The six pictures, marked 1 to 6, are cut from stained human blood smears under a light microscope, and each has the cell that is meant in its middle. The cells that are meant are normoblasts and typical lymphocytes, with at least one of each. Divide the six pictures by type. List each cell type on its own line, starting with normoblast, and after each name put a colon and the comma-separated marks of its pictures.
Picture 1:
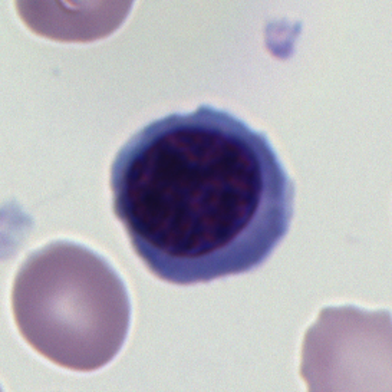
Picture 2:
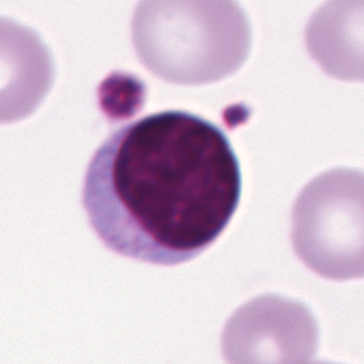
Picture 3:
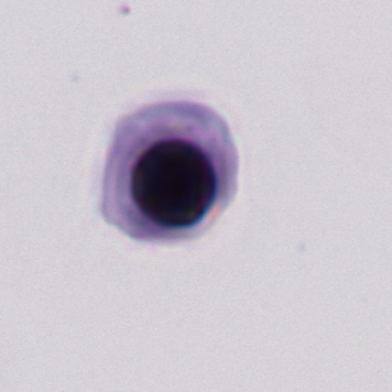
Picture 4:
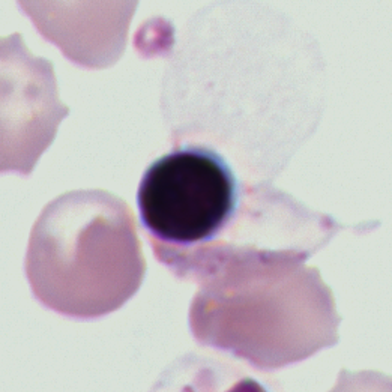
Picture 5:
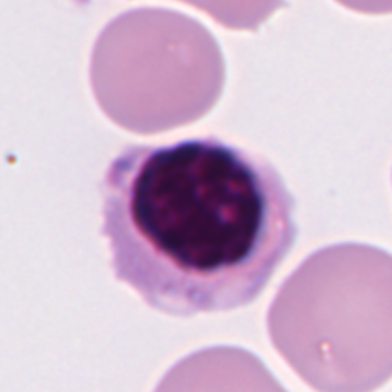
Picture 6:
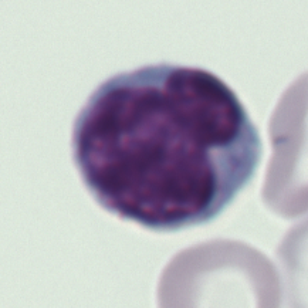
normoblast: 1, 3, 4, 5
typical lymphocyte: 2, 6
